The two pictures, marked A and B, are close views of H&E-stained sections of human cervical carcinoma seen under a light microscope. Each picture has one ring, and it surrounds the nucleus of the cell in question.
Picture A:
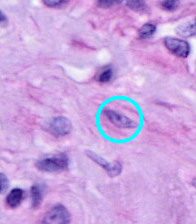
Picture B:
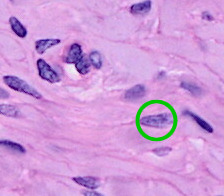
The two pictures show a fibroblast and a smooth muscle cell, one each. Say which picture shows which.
A: smooth muscle cell
B: fibroblast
